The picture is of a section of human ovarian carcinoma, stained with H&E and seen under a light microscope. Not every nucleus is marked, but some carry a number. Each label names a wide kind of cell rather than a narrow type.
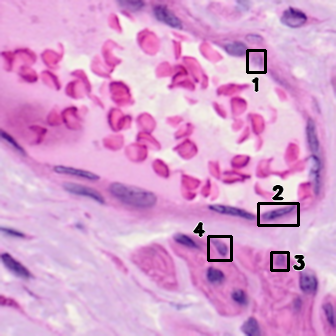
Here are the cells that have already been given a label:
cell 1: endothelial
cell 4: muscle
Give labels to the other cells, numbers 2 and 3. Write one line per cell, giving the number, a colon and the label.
2: endothelial
3: muscle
